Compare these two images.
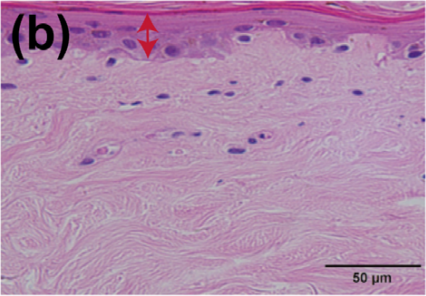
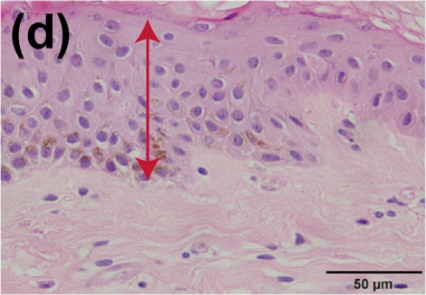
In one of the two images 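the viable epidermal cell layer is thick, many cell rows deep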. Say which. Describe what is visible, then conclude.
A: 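Second image: a broad band of many rows of nucleated cells beneath the surface layer. First image: only a thin band of one to two rows of nucleated cells under the pink surface layer. That points to this answer: the second image.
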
